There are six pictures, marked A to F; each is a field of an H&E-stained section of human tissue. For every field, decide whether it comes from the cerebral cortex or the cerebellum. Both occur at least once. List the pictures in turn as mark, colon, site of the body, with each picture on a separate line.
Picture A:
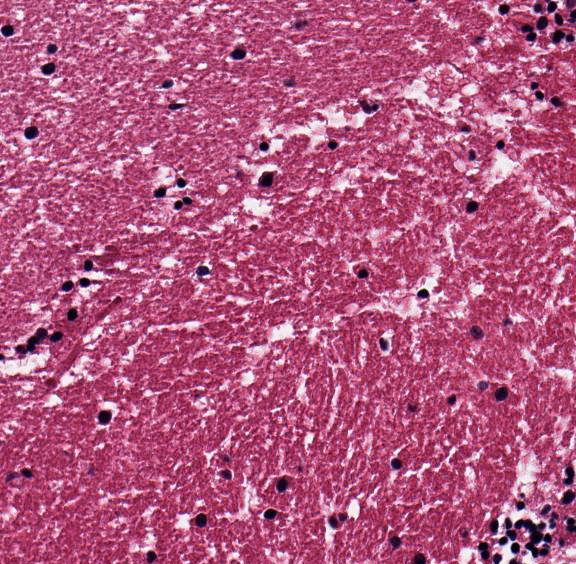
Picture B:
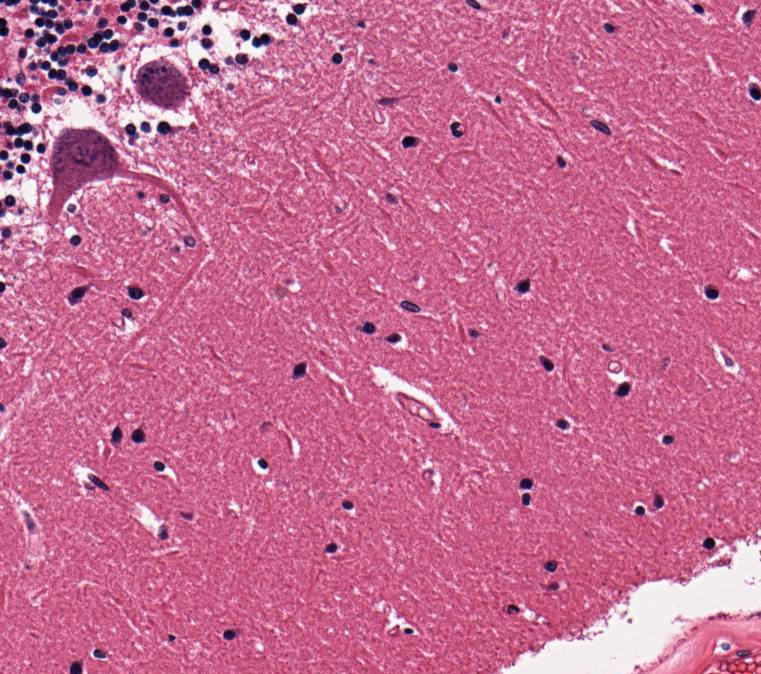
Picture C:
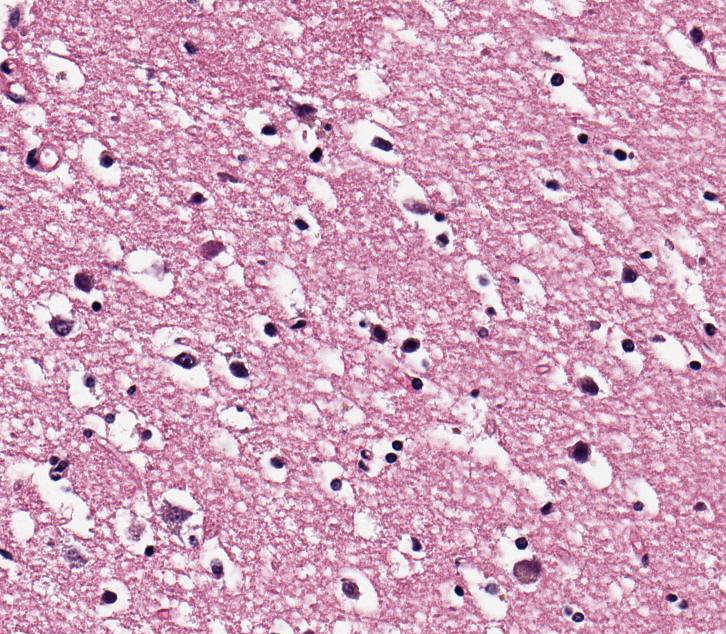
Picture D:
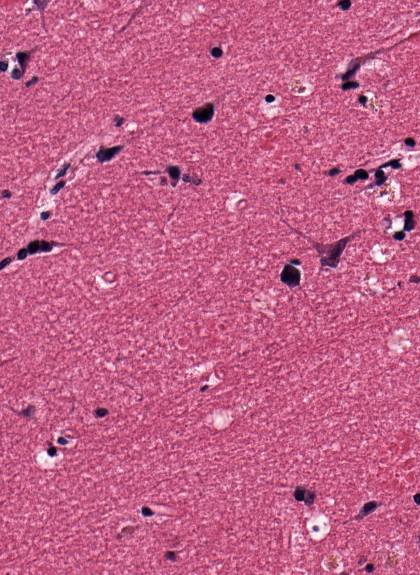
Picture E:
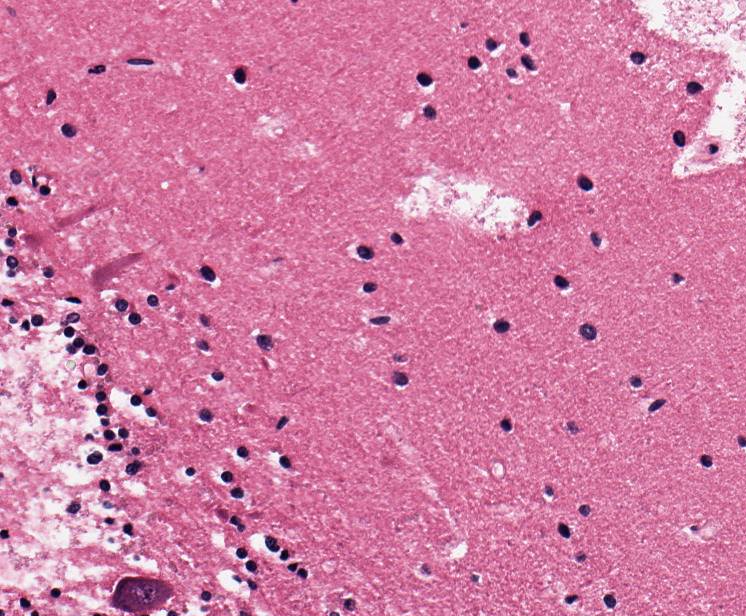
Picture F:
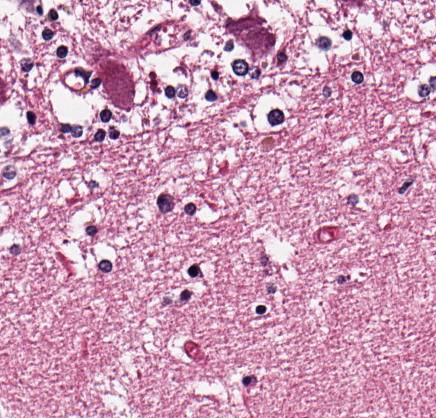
A: cerebellum
B: cerebellum
C: cerebral cortex
D: cerebral cortex
E: cerebellum
F: cerebellum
